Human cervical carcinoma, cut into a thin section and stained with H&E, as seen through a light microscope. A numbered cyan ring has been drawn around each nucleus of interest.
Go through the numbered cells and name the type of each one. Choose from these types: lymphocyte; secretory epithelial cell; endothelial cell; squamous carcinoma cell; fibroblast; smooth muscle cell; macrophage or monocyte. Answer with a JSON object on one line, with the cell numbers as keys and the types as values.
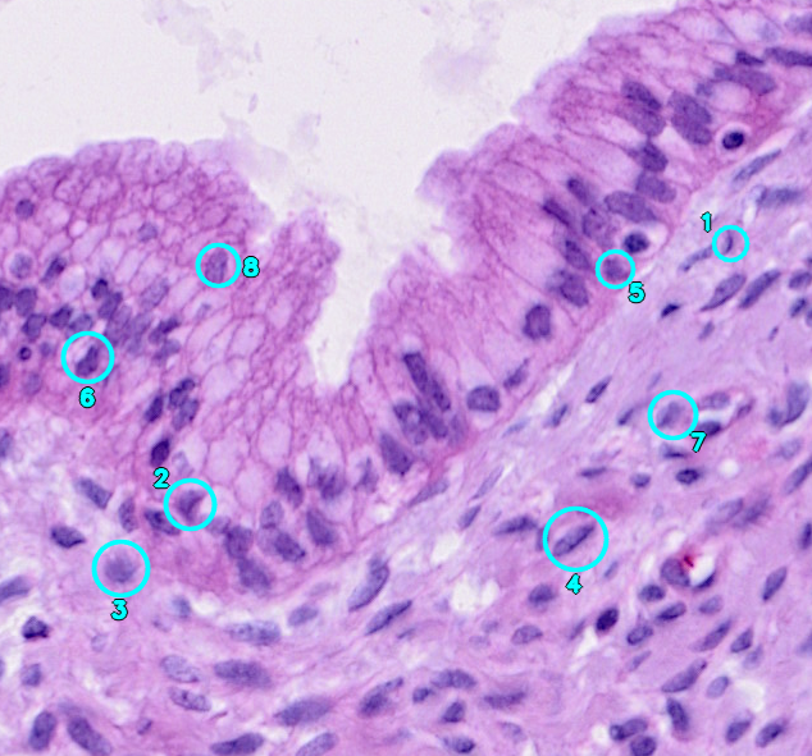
{"1": "fibroblast", "2": "secretory epithelial cell", "3": "fibroblast", "4": "fibroblast", "5": "secretory epithelial cell", "6": "secretory epithelial cell", "7": "fibroblast", "8": "secretory epithelial cell"}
